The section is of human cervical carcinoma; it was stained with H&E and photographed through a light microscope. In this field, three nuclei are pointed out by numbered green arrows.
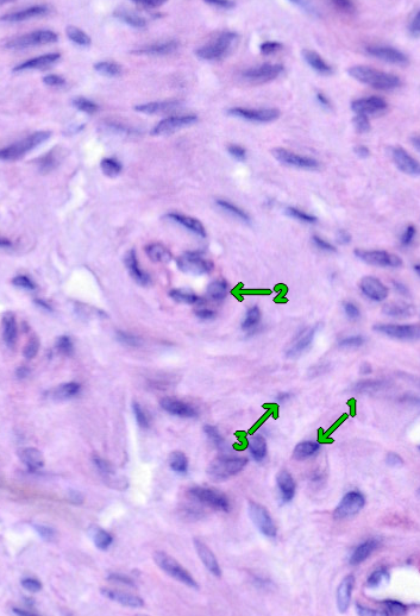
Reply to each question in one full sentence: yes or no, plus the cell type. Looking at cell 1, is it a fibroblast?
Yes, the cell indicated by number 1 is a fibroblast.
